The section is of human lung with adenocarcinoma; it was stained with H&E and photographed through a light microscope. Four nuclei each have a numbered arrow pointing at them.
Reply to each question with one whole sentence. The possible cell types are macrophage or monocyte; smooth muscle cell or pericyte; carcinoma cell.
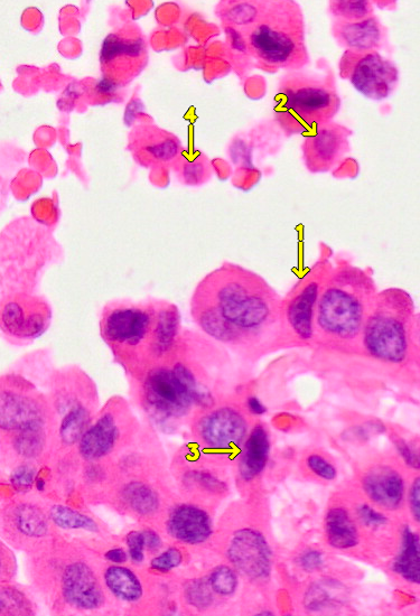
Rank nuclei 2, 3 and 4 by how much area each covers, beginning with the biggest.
The nuclei rank 3, 2, 4, from largest to smallest.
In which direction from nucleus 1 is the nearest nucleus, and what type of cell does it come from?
A carcinoma cell lies closest, to the right of nucleus 1.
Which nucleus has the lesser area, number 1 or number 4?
Number 4 is smaller, since number 1 takes up about 2.5 times as much area.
